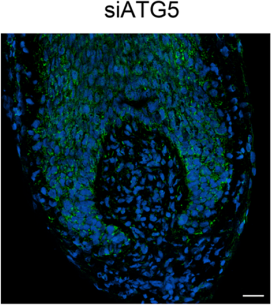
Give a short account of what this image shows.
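The matrix is a thick, rounded mass of densely packed blue nuclei. In the lower middle of the bulb lies a pocket where the nuclei are sparser and less regularly arranged, corresponding to the dermal papilla. Green fluorescence forms a fine network between the matrix cells, strongest in the upper and lateral parts of the bulb. At the outer edge, a thin rim of flattened nuclei wraps around the bulb.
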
